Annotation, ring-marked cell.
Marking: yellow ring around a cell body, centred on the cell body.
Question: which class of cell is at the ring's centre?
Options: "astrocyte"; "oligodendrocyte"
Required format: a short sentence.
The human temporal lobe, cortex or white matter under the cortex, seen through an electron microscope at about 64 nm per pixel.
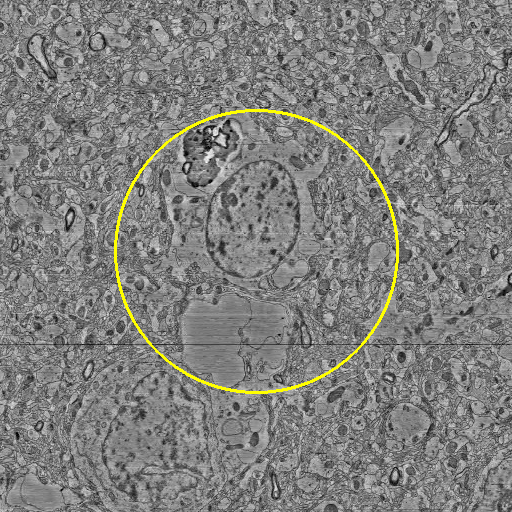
At the ring's centre is an astrocyte.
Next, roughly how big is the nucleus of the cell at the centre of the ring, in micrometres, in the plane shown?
Roughly 8 micrometres by 6 micrometres, in this plane.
